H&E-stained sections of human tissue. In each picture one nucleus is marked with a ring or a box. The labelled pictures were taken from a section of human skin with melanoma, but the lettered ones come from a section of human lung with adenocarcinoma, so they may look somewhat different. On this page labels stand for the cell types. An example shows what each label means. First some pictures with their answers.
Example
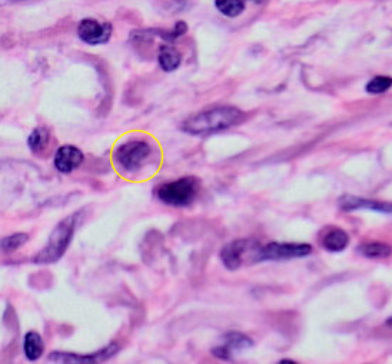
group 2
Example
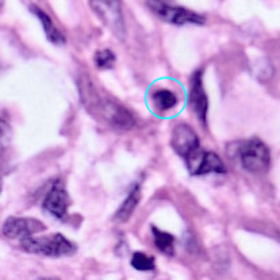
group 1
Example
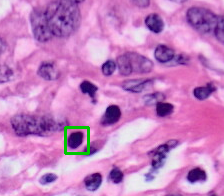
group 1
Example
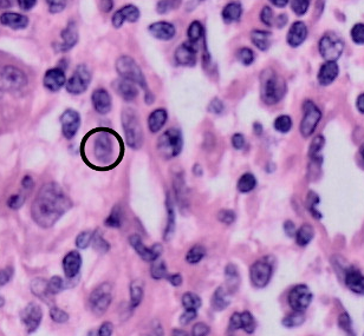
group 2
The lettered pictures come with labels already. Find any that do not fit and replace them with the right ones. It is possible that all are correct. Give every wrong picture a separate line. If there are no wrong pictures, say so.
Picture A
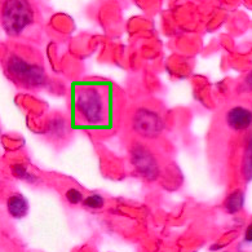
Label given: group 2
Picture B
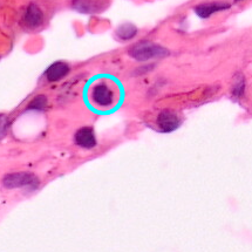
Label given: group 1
All labels are correct.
